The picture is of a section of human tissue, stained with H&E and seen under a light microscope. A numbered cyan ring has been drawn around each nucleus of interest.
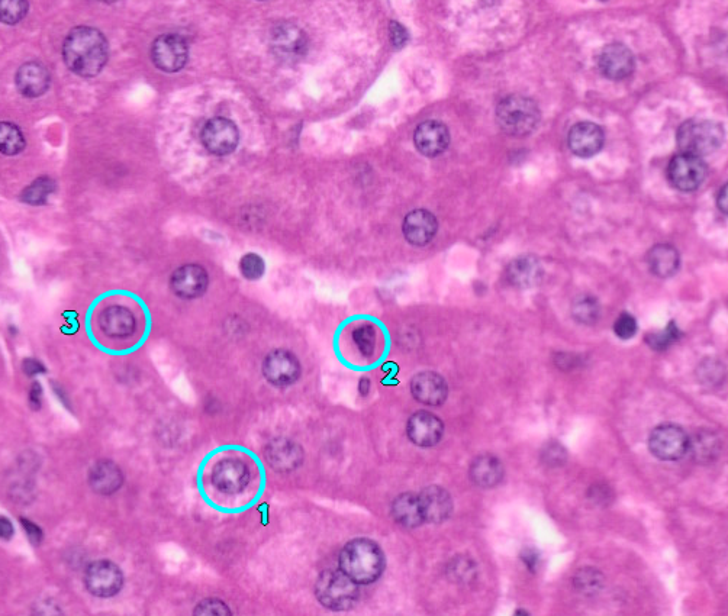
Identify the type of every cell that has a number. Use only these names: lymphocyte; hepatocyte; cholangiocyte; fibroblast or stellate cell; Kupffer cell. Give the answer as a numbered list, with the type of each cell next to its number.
1. hepatocyte
2. fibroblast or stellate cell
3. hepatocyte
